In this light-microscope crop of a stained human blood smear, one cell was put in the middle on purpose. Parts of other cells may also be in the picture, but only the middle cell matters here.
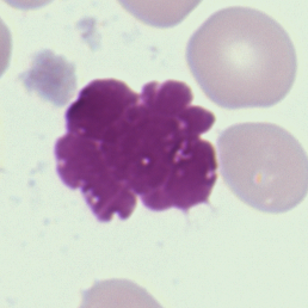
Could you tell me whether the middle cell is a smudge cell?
yes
